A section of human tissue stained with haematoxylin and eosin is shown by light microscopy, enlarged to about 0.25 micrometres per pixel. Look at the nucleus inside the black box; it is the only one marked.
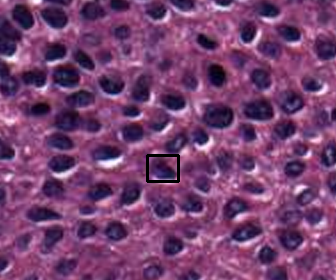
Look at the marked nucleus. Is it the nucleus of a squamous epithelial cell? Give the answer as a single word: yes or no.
yes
